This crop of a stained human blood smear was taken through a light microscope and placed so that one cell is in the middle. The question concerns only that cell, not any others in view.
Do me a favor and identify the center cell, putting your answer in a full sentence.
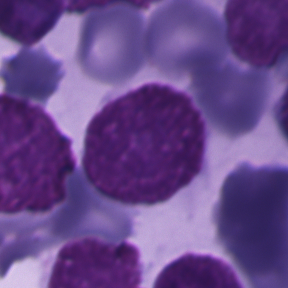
In the crop, the cell of interest at the centre is a smudge cell.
